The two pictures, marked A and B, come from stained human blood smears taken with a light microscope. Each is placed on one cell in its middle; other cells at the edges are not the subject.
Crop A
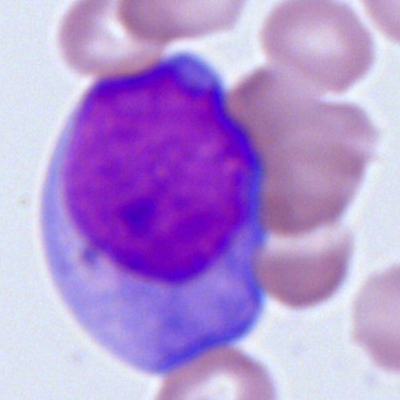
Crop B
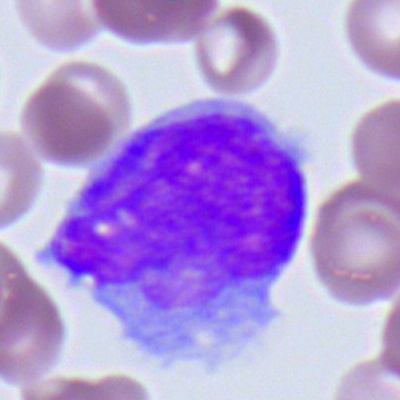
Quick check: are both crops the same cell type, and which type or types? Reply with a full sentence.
No, crop B centres on a monocyte, and crop A centres on a myeloblast.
